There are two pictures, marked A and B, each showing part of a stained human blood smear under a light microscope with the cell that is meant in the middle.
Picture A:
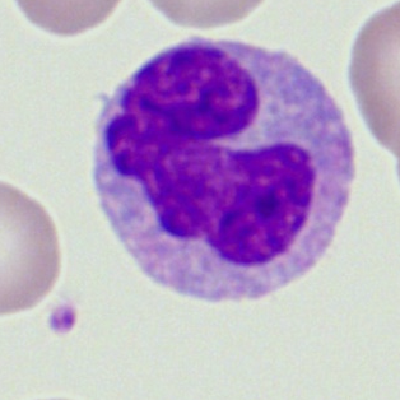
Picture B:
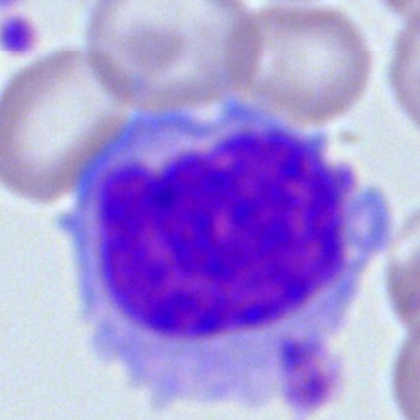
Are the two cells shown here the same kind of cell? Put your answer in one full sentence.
Yes, the two pictures both show monocytes.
